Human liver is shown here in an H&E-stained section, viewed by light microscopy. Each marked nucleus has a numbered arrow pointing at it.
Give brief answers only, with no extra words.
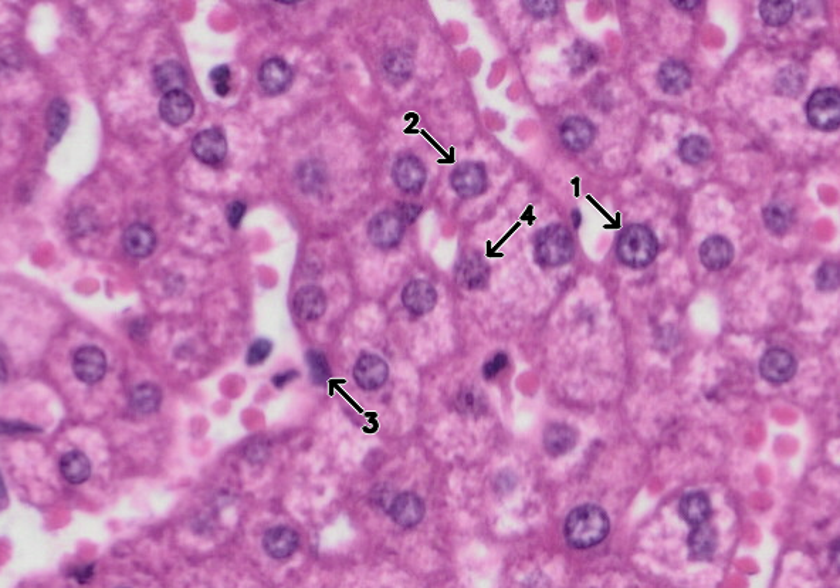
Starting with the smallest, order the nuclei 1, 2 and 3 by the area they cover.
3, 2, 1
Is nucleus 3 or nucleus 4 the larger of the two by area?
4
